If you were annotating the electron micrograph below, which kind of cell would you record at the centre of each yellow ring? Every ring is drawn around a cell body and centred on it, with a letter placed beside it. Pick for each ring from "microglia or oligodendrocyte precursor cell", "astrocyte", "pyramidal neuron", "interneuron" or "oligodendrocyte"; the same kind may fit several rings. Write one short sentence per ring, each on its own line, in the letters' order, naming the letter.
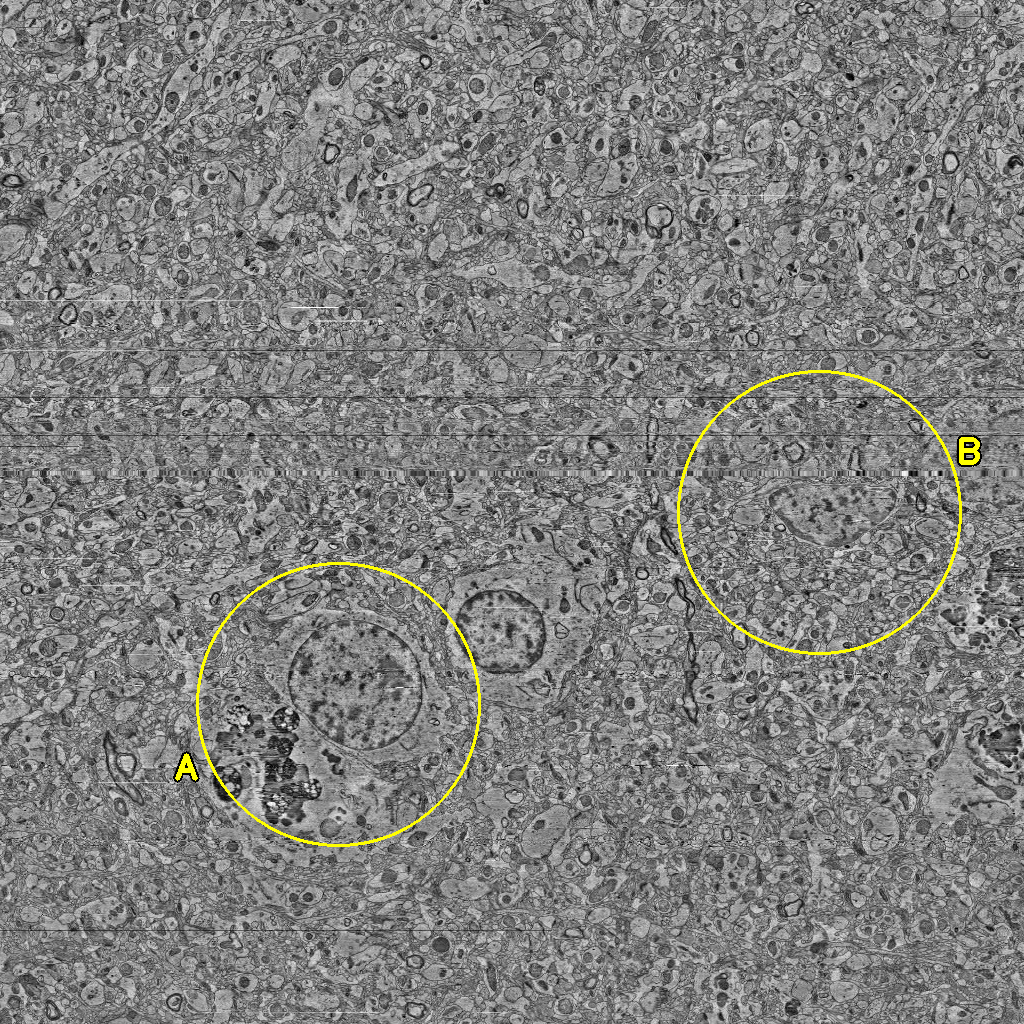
For ring A, I would record an astrocyte.
For ring B, I would record a microglial cell or oligodendrocyte precursor cell.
